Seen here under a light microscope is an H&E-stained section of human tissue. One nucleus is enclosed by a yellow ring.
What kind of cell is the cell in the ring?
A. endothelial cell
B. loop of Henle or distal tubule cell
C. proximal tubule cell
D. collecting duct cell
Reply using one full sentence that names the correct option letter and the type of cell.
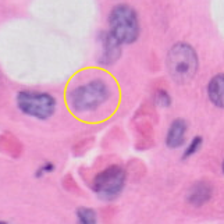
Option B is the one to take: the cell in the ring is a loop of Henle or distal tubule cell.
